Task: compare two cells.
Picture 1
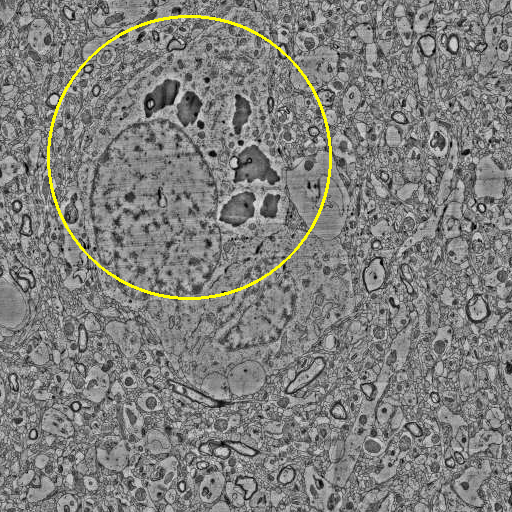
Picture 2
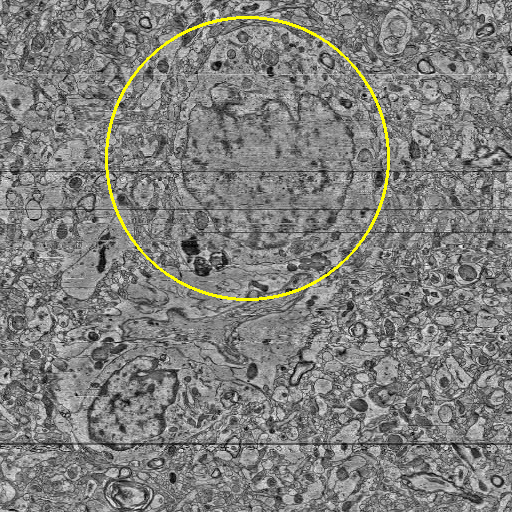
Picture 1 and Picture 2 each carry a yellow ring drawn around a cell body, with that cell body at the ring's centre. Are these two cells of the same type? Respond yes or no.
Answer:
yes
